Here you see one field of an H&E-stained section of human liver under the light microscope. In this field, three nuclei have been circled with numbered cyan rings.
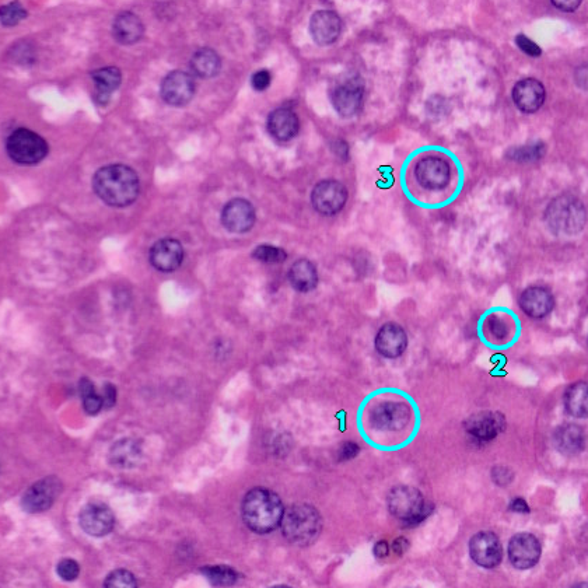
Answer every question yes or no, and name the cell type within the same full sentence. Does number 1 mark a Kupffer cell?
No, the one with number 1 is an endothelial cell, not a Kupffer cell.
